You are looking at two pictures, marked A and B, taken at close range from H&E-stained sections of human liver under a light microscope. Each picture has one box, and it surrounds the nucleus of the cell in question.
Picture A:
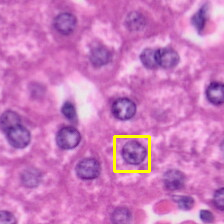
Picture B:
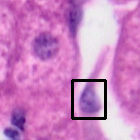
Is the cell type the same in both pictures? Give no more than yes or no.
no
